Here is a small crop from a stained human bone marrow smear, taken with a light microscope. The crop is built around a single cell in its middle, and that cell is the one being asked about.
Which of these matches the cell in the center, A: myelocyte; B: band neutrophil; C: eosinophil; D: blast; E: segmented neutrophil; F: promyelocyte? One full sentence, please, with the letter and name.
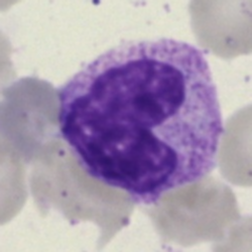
Option B is accurate; the centrally placed cell is a band neutrophil.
